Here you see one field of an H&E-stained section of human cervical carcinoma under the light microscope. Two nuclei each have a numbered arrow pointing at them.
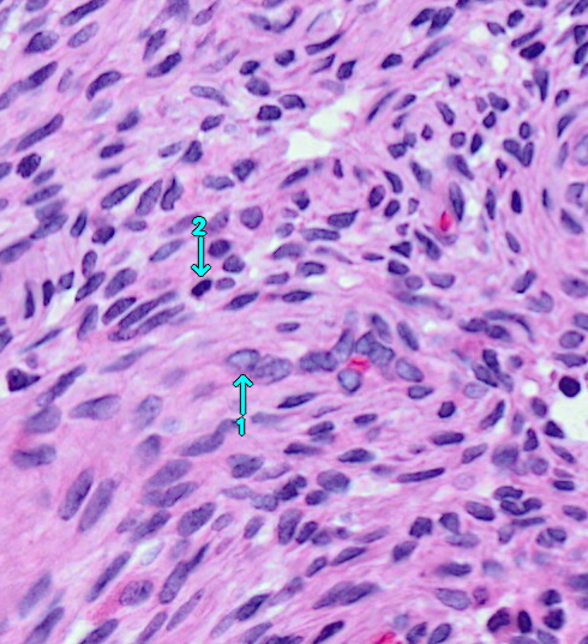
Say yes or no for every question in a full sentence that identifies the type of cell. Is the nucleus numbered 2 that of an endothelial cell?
No, cell 2 is classified as a lymphocyte rather than an endothelial cell.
